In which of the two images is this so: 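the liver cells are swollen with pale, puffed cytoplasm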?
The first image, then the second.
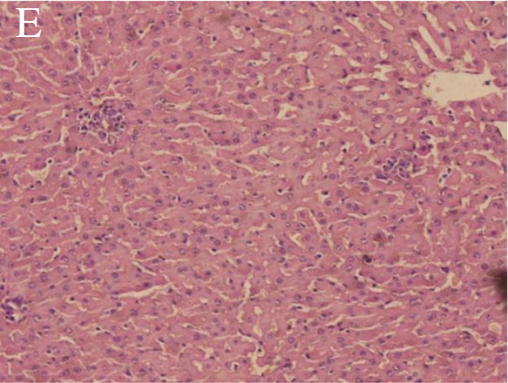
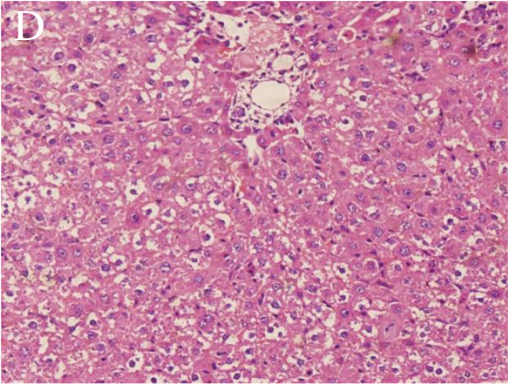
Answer: The second image.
